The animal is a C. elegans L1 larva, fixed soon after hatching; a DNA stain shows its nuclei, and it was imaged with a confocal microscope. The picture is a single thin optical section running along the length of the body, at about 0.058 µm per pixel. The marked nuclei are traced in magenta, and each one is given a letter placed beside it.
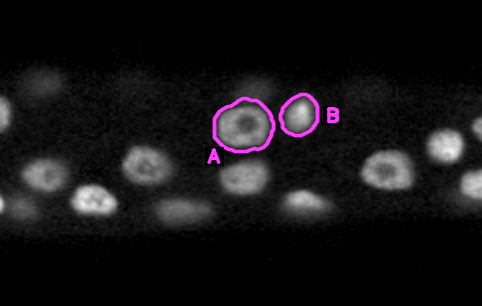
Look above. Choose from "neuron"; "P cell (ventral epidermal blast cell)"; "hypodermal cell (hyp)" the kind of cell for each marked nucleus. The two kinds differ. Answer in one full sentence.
B belongs to a neuron, and A to a hypodermal cell (hyp).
